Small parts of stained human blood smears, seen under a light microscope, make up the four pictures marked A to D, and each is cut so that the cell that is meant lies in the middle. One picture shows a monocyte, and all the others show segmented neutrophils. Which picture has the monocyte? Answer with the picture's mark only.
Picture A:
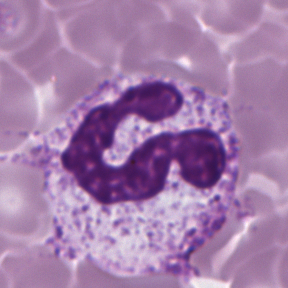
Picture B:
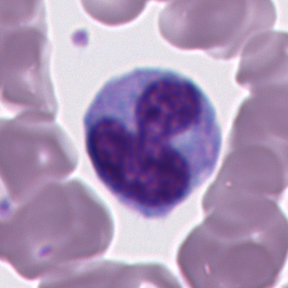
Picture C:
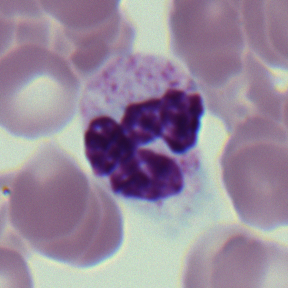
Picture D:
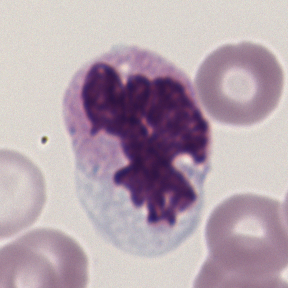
B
